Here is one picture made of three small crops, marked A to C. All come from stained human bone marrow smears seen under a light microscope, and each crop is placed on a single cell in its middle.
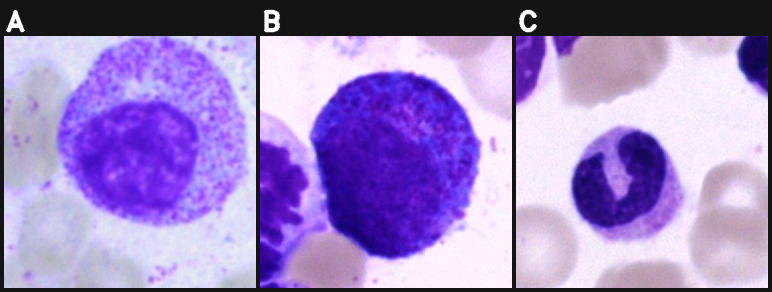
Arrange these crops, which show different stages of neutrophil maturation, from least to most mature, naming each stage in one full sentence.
In ascending order of maturity, the sequence is crop B (a promyelocyte), crop A (a myelocyte) and crop C (a band neutrophil).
